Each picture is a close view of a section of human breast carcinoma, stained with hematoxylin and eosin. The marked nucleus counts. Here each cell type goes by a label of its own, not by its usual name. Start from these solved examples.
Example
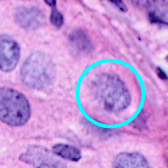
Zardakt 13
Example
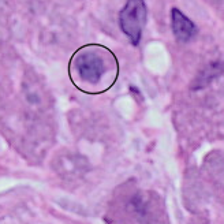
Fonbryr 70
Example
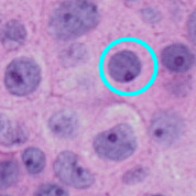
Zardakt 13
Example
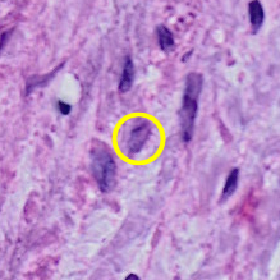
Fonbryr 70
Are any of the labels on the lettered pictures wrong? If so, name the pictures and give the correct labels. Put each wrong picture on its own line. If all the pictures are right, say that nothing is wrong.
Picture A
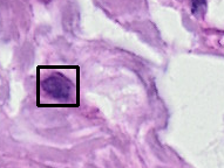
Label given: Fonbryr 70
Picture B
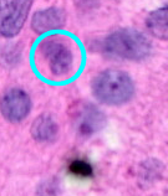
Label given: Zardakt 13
Every label is right.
